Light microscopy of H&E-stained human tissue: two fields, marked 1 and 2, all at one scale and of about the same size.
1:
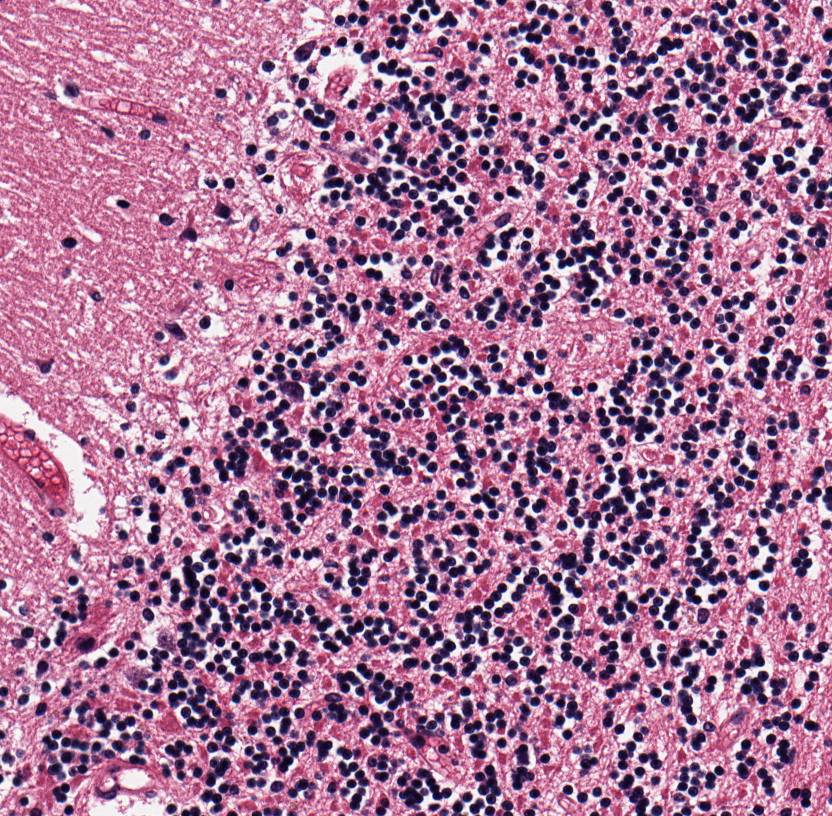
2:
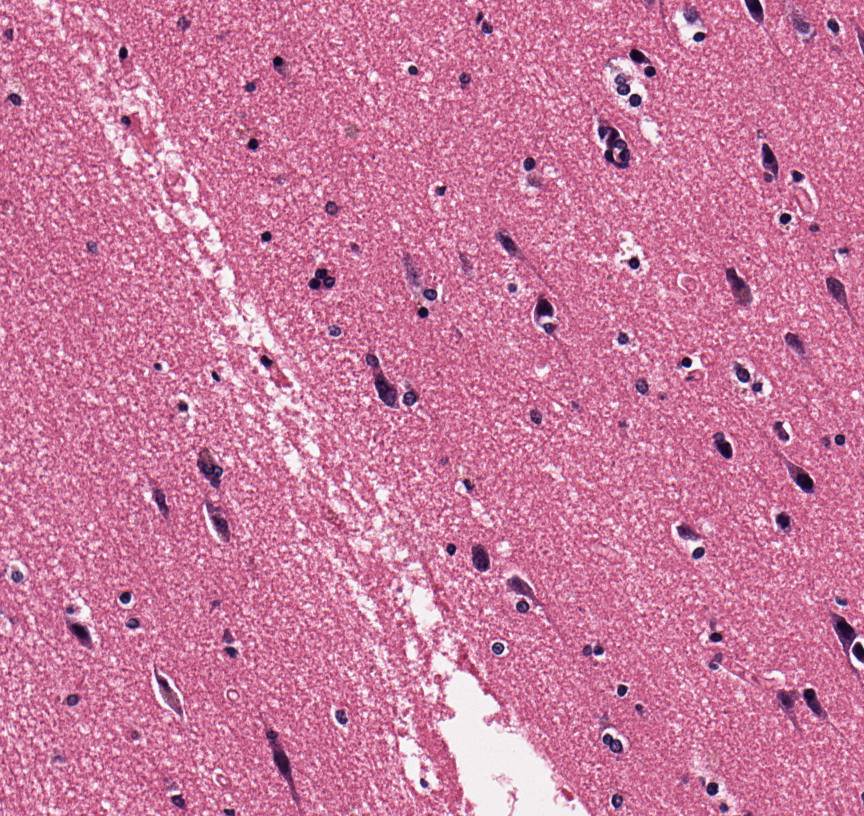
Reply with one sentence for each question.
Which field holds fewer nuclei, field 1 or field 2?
Fewer nuclei lie in field 2 than in field 1.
